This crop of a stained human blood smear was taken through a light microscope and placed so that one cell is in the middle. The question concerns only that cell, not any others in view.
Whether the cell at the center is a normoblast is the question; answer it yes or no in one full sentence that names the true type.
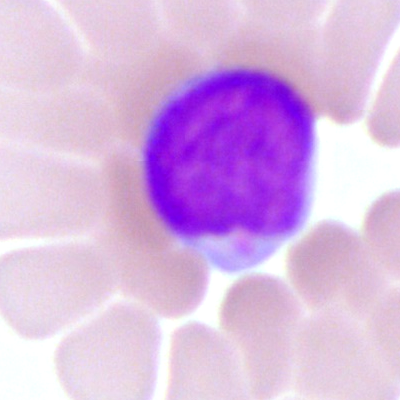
No, the cell found centrally in the crop is a myeloblast, not a normoblast.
